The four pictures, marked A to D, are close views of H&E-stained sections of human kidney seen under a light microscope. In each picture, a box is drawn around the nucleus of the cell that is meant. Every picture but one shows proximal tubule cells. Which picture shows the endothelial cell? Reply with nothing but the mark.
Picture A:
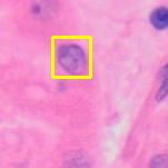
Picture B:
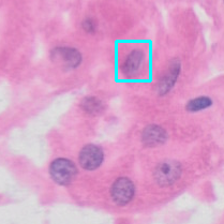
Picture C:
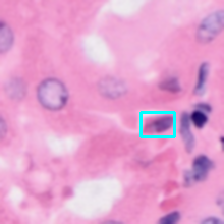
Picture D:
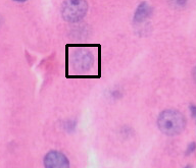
C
